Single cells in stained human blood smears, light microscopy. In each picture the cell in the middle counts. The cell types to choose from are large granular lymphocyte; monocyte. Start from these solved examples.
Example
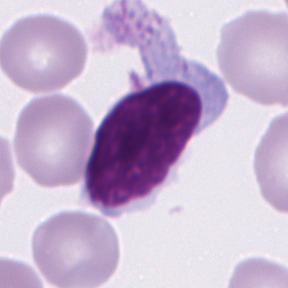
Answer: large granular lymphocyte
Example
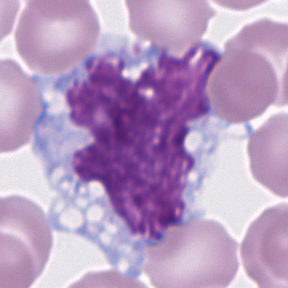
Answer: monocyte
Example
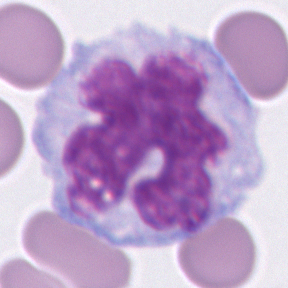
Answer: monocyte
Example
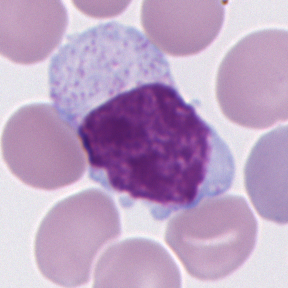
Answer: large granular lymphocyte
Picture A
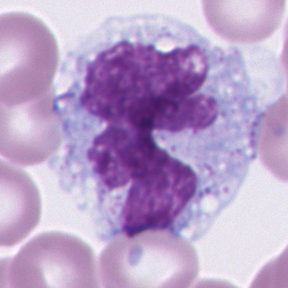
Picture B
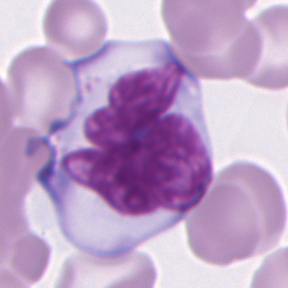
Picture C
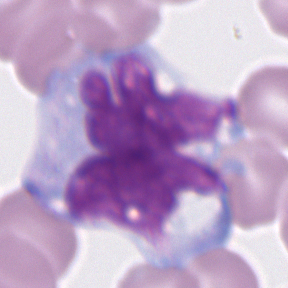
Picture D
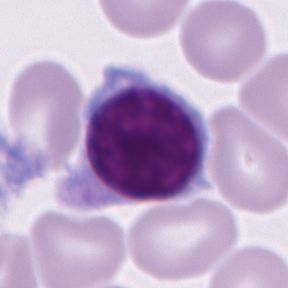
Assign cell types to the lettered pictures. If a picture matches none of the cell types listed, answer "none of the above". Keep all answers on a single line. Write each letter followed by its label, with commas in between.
A monocyte, B large granular lymphocyte, C monocyte, D none of the above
